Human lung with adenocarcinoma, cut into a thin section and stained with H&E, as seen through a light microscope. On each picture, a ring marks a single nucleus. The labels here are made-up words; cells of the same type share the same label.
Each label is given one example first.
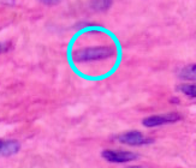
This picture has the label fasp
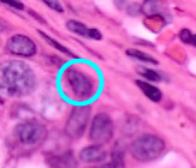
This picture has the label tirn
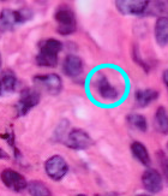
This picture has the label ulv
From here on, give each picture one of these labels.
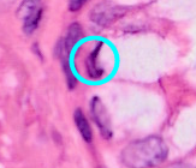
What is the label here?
tirn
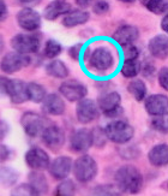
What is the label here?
ulv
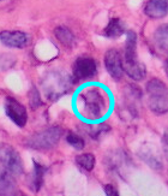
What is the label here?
tirn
